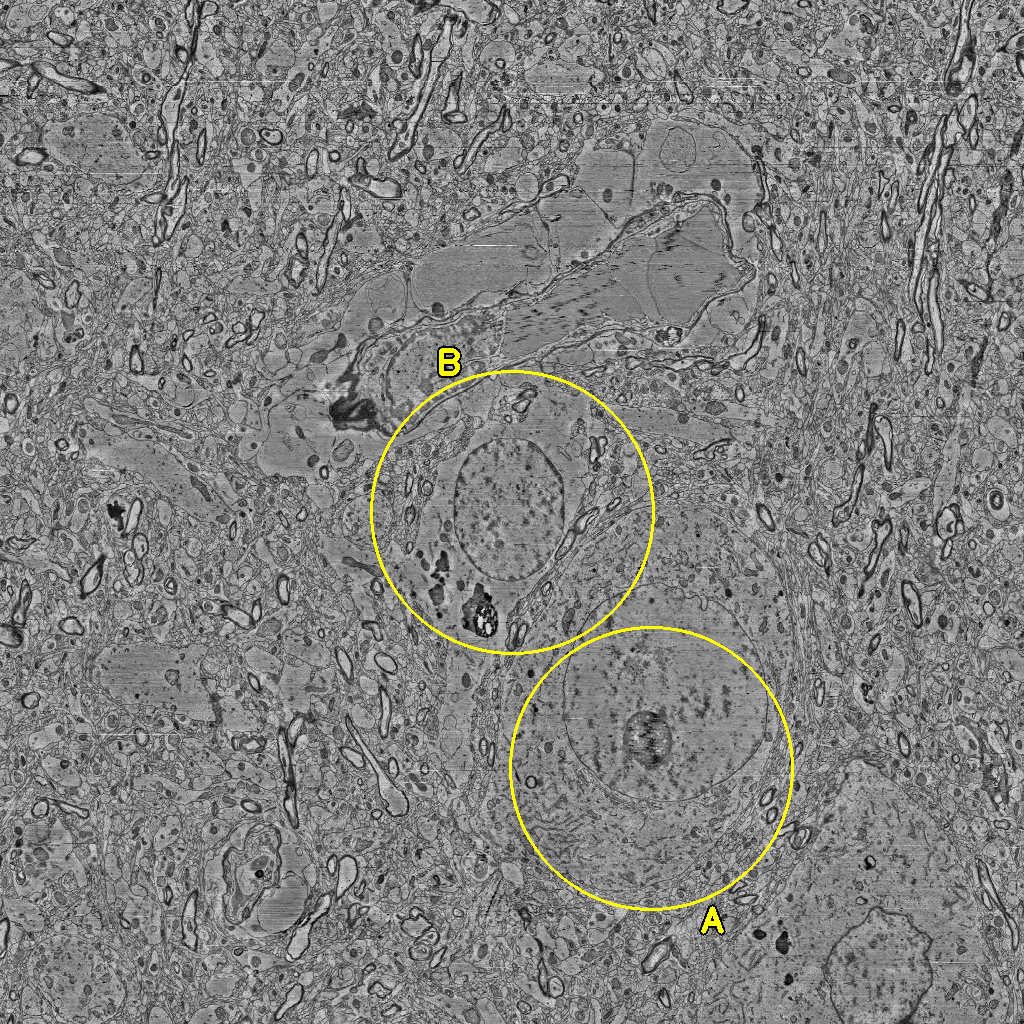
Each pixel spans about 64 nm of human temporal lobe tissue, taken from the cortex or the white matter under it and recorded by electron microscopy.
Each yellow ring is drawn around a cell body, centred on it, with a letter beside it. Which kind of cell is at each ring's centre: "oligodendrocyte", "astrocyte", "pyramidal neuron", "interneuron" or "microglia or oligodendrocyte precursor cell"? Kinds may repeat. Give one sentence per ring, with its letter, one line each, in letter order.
Ring A is centred on a pyramidal neuron.
Ring B is centred on an astrocyte.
